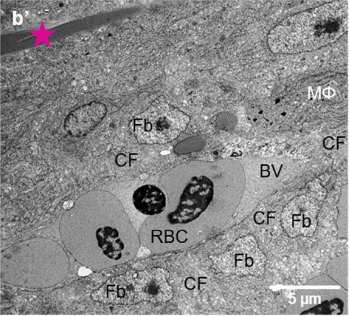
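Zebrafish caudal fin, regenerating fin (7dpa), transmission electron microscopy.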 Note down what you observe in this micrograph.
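The red blood cells are large oval cells with smooth grey cytoplasm and compact nuclei of dark, clumped chromatin. The vessel is enclosed by bundles of fibrous matrix running alongside it. No pigment-laden cells are present. In the upper left corner a dense, dark, homogeneous band crosses the field.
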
